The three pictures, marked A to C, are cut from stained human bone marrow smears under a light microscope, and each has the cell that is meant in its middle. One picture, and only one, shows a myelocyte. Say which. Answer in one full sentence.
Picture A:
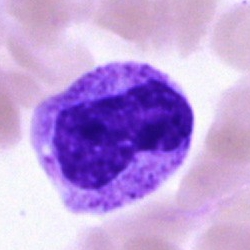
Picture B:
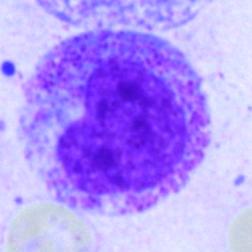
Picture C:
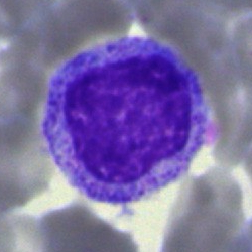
The cell in picture C is the myelocyte.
